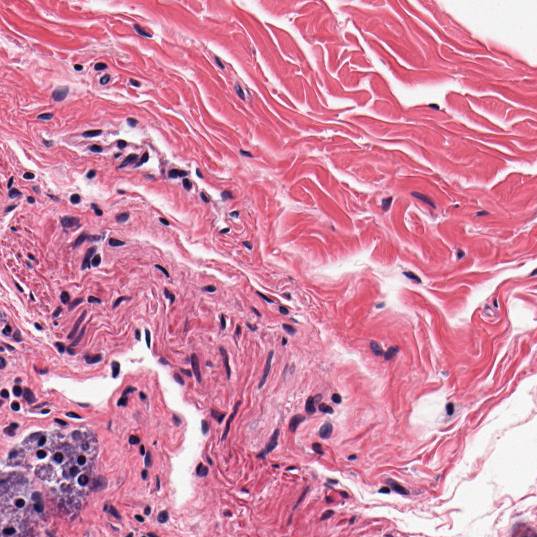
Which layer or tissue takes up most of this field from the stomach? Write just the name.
dense connective tissue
